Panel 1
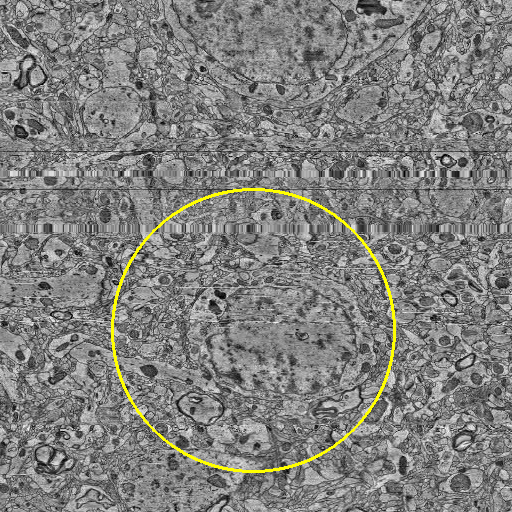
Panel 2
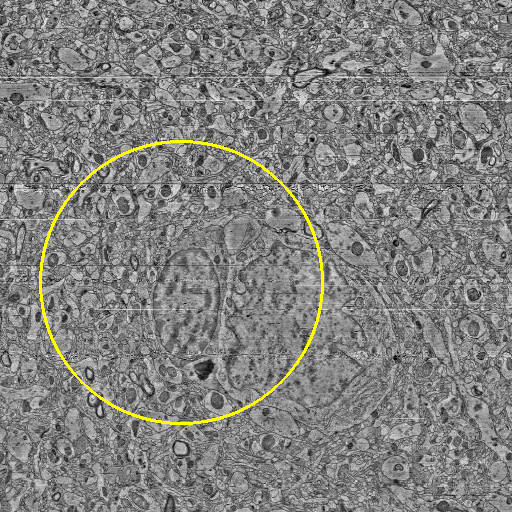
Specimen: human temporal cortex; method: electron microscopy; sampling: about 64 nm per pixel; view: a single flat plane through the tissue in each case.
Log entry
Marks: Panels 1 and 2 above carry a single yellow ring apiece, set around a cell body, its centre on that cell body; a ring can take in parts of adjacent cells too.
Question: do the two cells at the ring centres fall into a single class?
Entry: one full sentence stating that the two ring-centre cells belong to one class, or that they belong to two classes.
The two ring-centre cells in Panels 1 and 2 belong to two classes.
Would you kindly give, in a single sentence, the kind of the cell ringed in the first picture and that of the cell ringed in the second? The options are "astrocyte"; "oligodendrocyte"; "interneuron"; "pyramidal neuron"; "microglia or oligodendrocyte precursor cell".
The second cell is an oligodendrocyte, and the first cell is an interneuron.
